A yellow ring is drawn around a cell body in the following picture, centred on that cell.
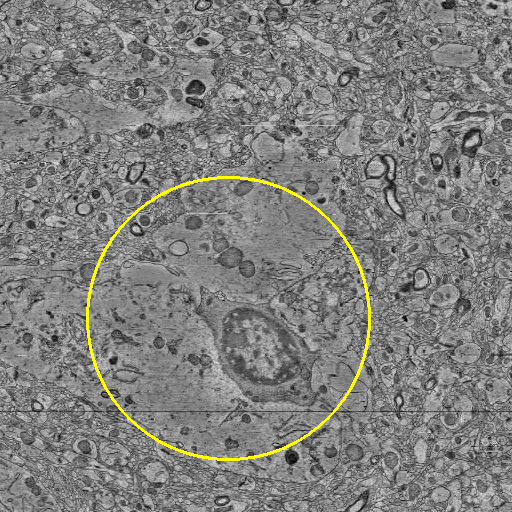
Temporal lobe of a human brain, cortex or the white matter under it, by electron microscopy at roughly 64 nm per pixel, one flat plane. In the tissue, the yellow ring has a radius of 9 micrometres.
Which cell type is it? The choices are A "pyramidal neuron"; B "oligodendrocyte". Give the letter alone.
B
